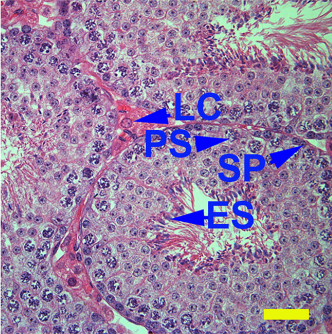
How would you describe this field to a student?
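Several seminiferous tubules of the testis are cut across, each lined by layers of germ cells with darkly stained round nuclei. Spermatogonia lie against the tubule wall, with pachytene spermatocytes bearing larger nuclei with coarse chromatin above them. Elongated spermatids with dark slender heads and pink tails crowd toward the lumen of the lower tubule. Leydig cells with pink cytoplasm lie in the interstitium where tubules meet.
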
